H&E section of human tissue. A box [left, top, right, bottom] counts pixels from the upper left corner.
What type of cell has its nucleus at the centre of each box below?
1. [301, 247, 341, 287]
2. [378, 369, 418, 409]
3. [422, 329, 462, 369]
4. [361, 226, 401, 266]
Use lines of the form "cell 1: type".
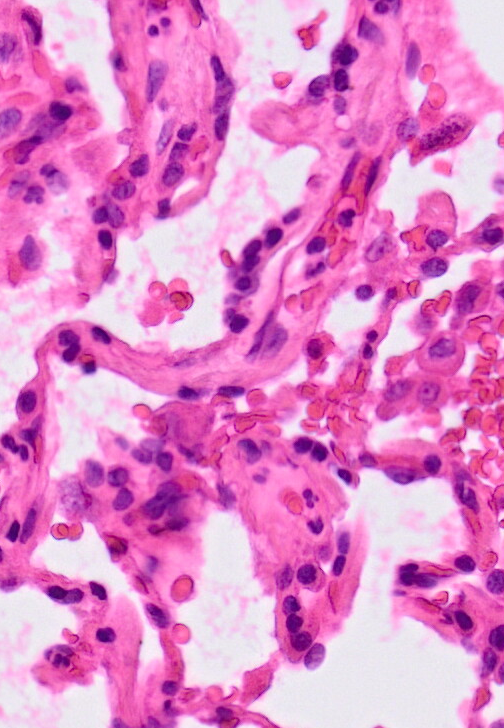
cell 1: endothelial cell
cell 2: macrophage or monocyte
cell 3: macrophage or monocyte
cell 4: macrophage or monocyte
